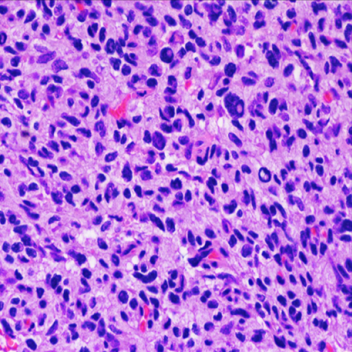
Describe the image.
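Tumor of densely packed spindled to ovoid cells lying haphazardly in sheets. Nuclei are dark, irregular and vary in size, with some markedly enlarged and atypical nuclei among smaller ones. The cytoplasm is pink and moderate in amount, with indistinct cell borders. Occasional nuclei show a rounded pale inclusion. Small vessels with red blood cells are scattered between the cells.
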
